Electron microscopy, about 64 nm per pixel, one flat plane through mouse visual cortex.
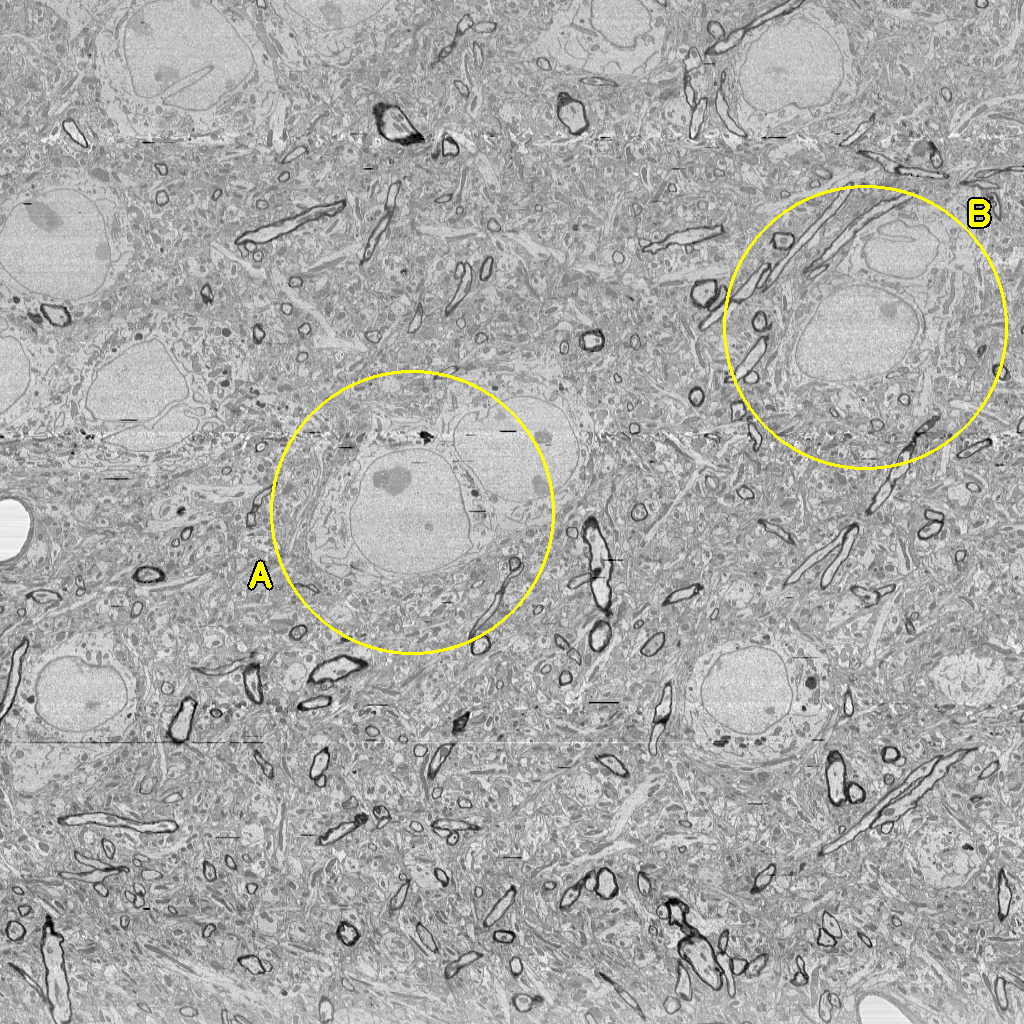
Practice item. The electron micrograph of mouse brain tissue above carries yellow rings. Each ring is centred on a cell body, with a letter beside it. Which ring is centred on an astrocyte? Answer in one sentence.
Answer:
Ring B is centred on it.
